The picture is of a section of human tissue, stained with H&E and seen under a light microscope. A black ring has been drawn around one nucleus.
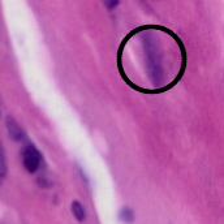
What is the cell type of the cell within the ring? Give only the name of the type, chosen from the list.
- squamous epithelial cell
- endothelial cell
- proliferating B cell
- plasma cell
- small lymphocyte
endothelial cell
